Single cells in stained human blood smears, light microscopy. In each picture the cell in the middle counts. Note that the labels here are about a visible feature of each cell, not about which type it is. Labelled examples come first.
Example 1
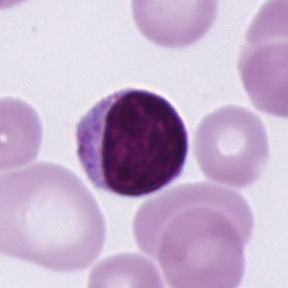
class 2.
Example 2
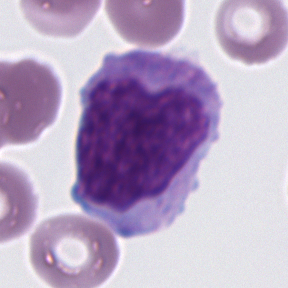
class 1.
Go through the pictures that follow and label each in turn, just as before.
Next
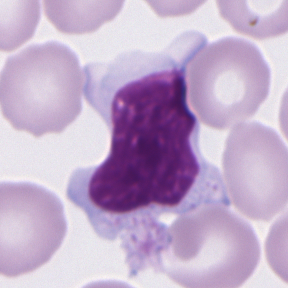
class 1.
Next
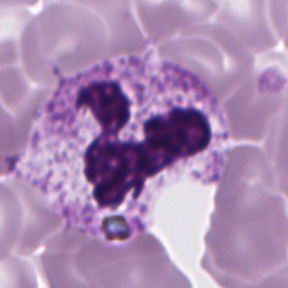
class 1.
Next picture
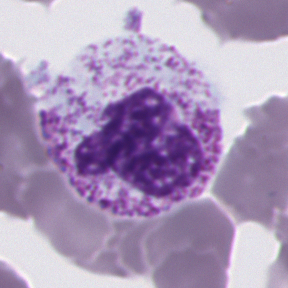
class 1.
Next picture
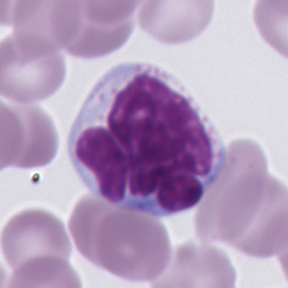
class 2.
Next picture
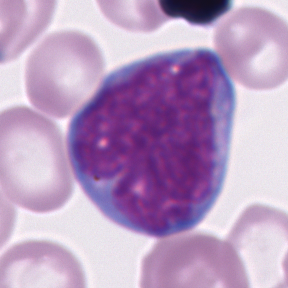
class 2.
